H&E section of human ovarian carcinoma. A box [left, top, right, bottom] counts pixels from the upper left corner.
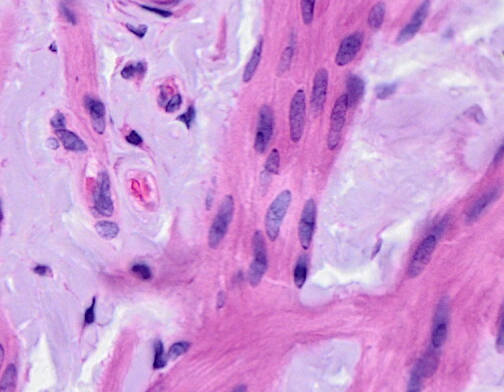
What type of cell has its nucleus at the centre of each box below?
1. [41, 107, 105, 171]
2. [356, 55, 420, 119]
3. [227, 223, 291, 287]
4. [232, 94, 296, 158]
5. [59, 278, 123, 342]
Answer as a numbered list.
1. endothelial cell
2. fibroblast
3. smooth muscle cell
4. smooth muscle cell
5. fibroblast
